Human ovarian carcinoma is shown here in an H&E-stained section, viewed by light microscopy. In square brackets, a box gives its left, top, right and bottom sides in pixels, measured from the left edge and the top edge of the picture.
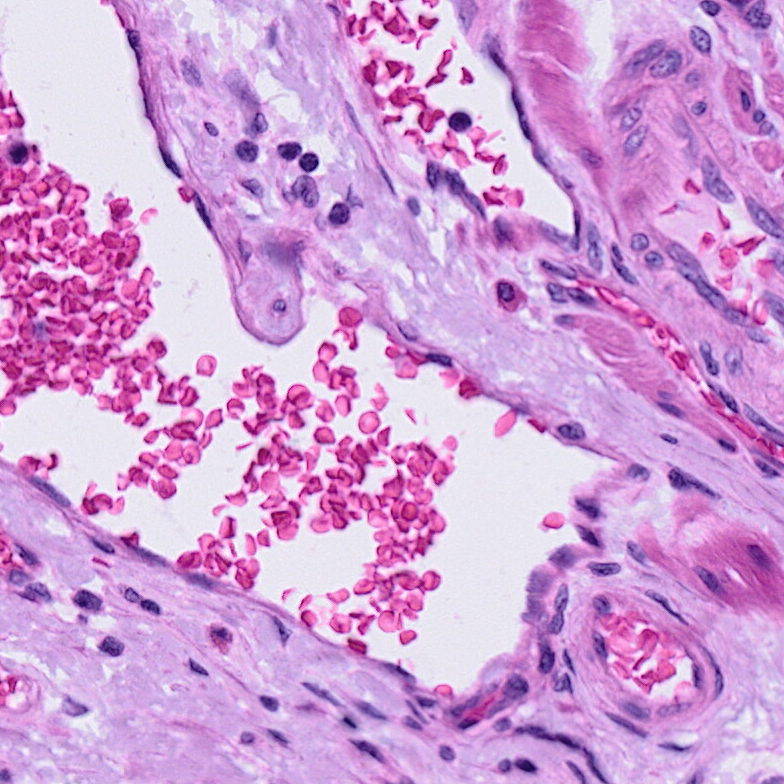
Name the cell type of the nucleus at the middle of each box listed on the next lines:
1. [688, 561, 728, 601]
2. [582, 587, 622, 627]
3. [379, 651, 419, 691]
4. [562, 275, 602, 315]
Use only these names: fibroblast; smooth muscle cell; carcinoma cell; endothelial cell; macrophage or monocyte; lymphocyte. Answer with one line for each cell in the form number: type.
1: smooth muscle cell
2: endothelial cell
3: endothelial cell
4: endothelial cell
